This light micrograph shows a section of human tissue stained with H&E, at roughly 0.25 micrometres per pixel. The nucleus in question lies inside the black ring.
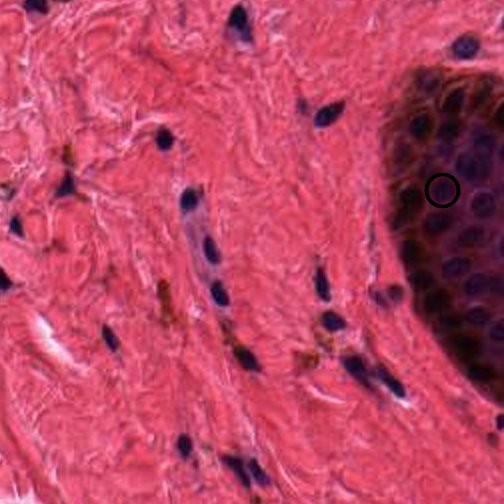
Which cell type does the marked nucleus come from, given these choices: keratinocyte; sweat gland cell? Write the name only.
keratinocyte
